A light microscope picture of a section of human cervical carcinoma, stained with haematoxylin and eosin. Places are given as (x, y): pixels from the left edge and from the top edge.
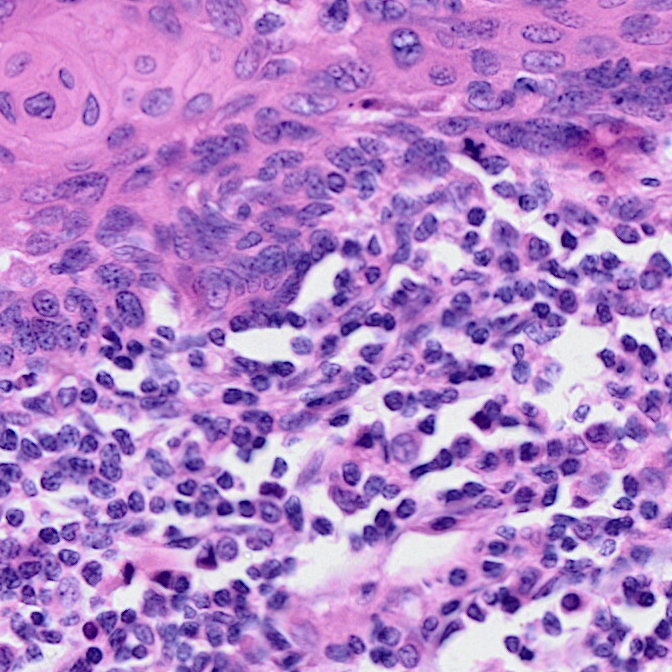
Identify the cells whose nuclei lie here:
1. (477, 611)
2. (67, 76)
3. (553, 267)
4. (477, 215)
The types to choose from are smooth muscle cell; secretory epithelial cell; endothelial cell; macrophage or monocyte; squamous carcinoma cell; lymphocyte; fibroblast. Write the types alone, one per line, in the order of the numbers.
lymphocyte
squamous carcinoma cell
lymphocyte
lymphocyte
